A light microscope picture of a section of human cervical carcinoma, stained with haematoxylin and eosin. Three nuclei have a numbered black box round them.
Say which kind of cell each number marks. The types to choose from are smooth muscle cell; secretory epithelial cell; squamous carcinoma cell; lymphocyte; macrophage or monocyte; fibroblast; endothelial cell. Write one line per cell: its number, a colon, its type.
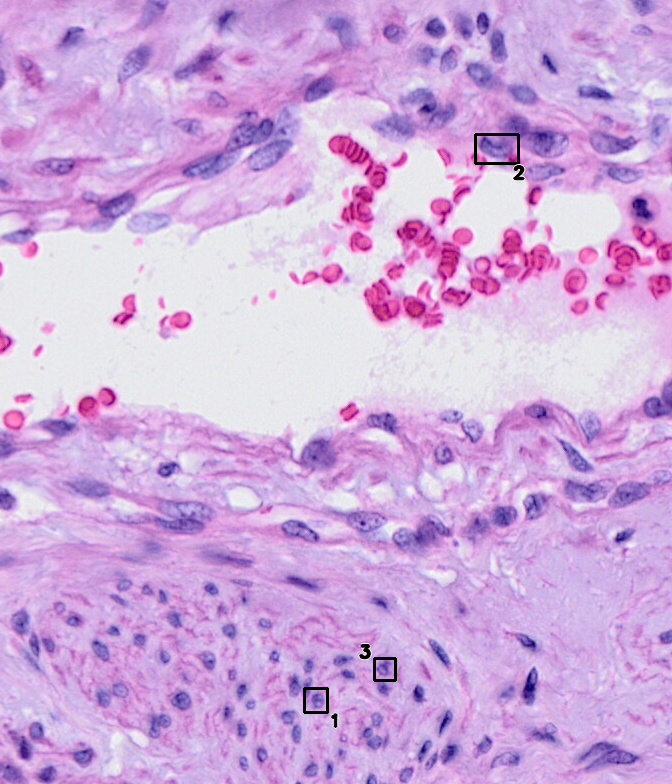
1: smooth muscle cell
2: endothelial cell
3: smooth muscle cell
